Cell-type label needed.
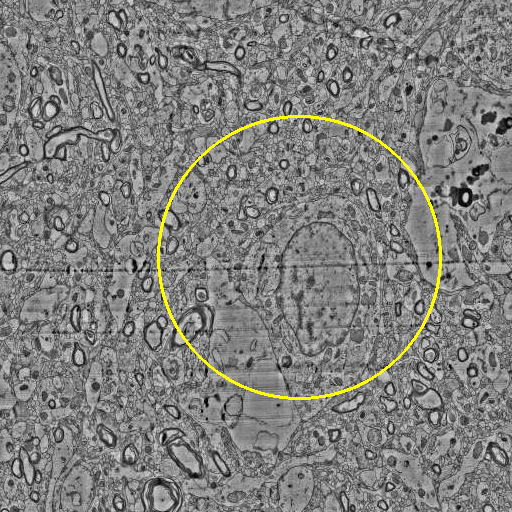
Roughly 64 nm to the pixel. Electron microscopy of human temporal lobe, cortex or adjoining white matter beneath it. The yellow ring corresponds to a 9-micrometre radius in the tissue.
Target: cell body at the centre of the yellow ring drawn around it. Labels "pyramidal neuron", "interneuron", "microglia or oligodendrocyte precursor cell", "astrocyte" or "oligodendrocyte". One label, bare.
interneuron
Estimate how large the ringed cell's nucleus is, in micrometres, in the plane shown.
In this plane the nucleus is clearly longer than it is wide: roughly 9 by 5 micrometres.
